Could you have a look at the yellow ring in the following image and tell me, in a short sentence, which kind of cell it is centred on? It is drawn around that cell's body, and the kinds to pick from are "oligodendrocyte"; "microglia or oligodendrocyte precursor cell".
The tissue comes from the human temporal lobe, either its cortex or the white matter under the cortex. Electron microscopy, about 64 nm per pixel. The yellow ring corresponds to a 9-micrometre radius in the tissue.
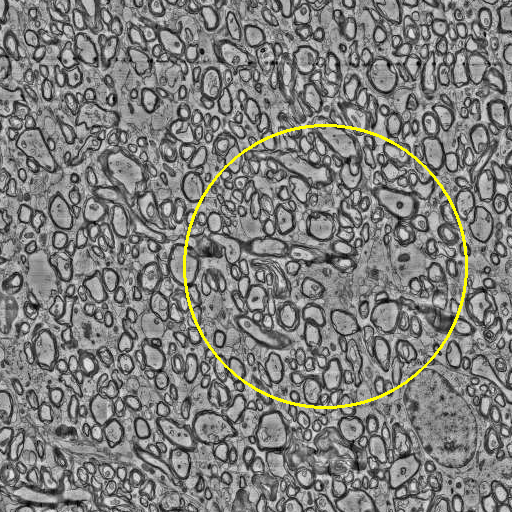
The ring is centred on the body of an oligodendrocyte.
